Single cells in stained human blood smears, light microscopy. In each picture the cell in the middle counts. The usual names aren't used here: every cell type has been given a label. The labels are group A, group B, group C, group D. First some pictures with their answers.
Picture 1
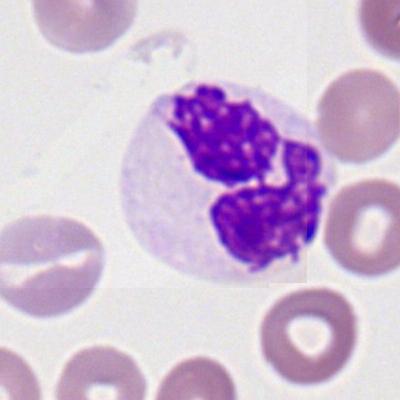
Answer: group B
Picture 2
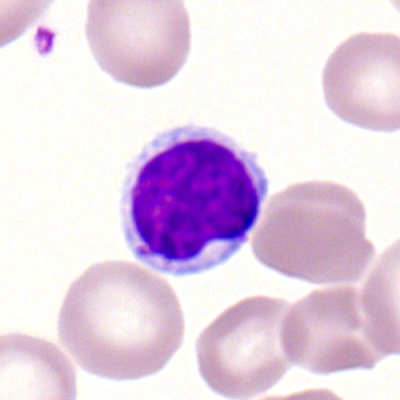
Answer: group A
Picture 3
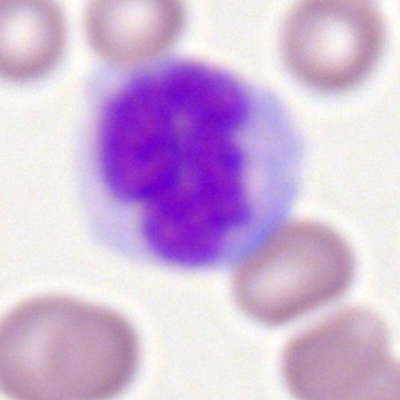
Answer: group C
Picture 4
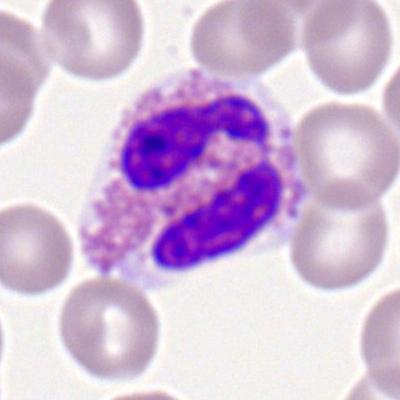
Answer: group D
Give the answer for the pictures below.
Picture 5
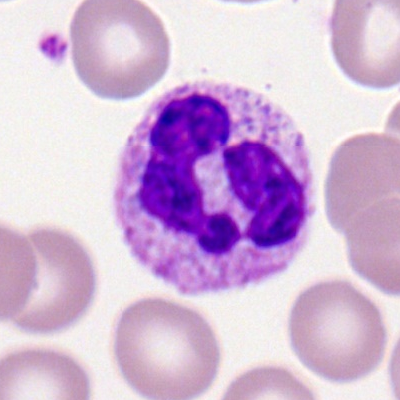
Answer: group B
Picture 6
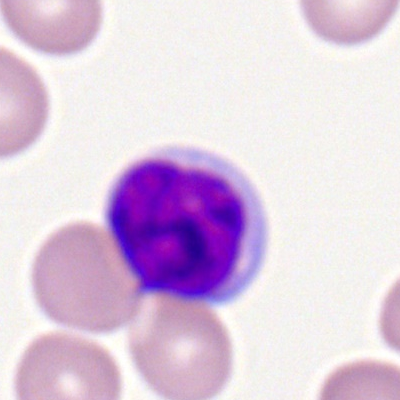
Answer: group A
